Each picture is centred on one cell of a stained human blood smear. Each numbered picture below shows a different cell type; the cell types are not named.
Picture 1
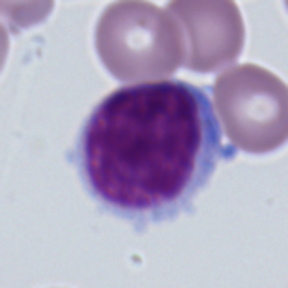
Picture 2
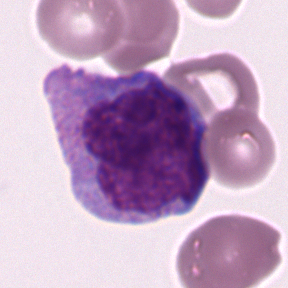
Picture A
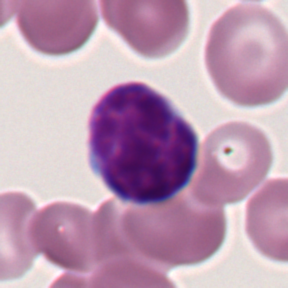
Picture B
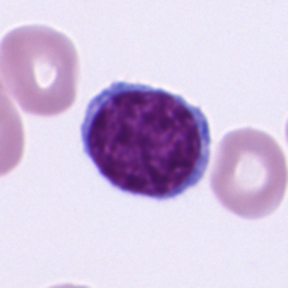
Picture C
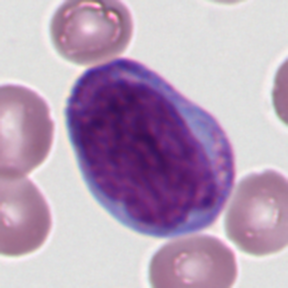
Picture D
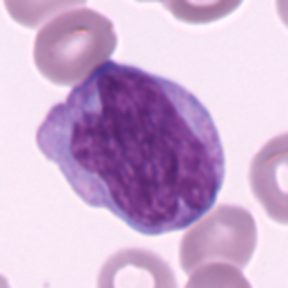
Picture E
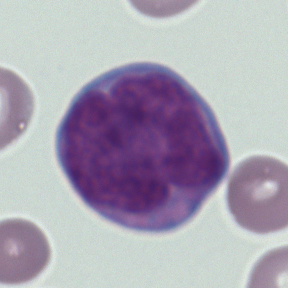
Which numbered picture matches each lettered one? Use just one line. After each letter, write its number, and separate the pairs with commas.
A 1, B 1, C 2, D 2, E 2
